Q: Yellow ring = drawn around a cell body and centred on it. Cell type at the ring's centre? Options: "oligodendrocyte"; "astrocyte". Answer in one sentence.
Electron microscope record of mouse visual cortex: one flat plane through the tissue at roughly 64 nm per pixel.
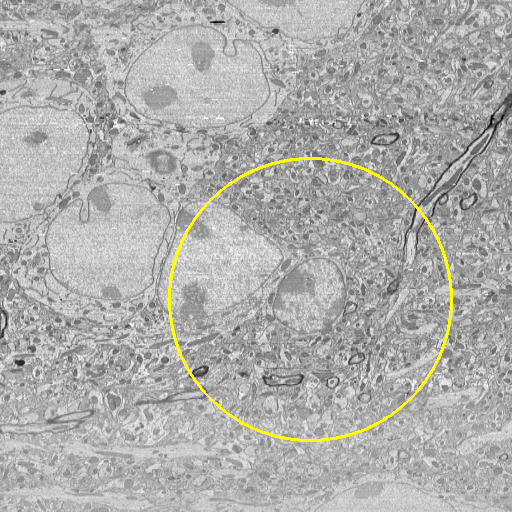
Centred in the ring is an oligodendrocyte.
